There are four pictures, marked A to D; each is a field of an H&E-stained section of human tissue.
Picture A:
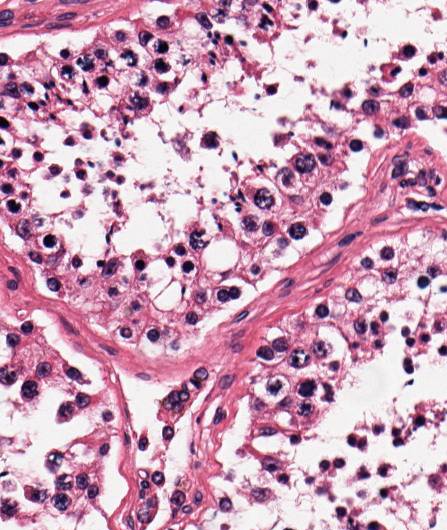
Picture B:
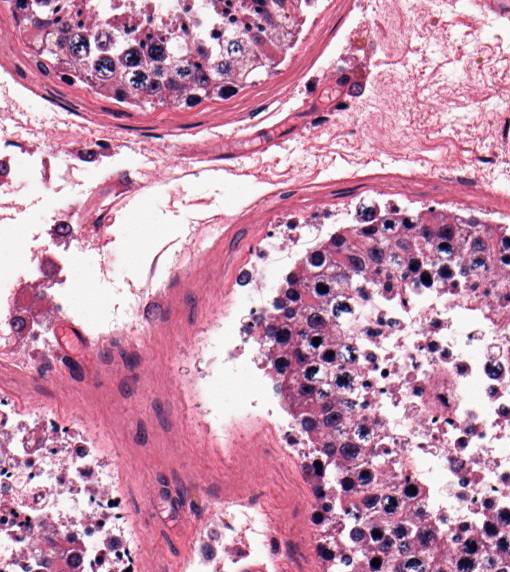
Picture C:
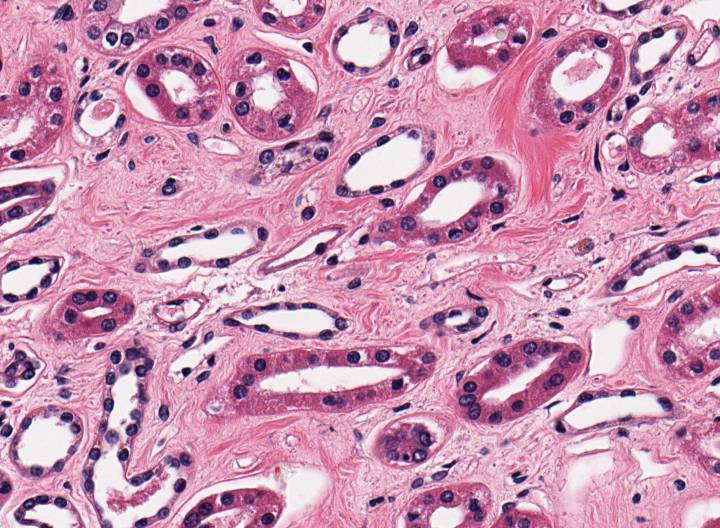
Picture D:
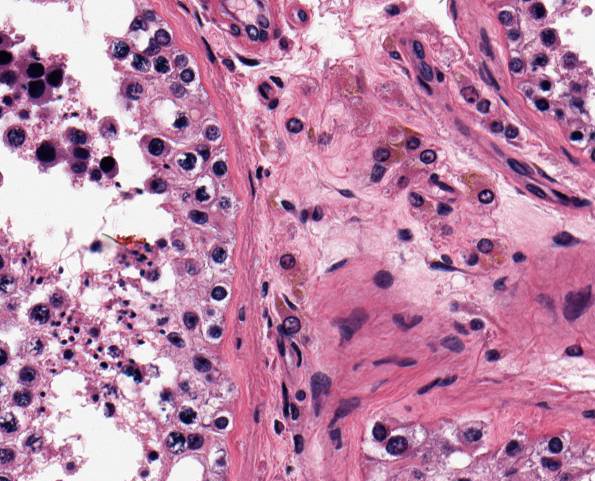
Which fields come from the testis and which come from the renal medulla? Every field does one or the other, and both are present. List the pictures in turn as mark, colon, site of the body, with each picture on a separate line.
A: testis
B: testis
C: renal medulla
D: testis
